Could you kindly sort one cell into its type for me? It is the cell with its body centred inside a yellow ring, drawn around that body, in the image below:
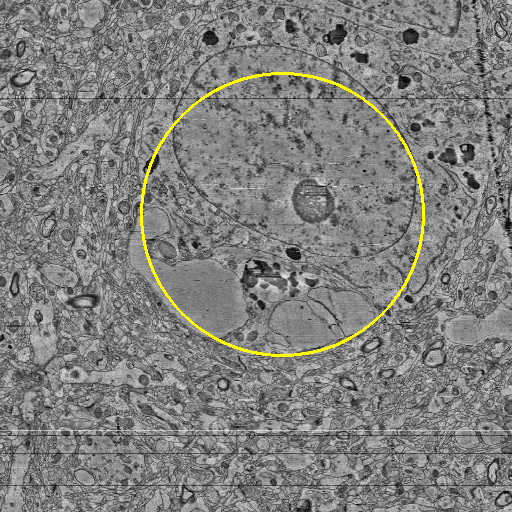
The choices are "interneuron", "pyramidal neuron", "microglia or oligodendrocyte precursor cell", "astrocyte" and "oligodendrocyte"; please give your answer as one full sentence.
The cell whose body lies centred in the yellow ring here is a pyramidal neuron.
